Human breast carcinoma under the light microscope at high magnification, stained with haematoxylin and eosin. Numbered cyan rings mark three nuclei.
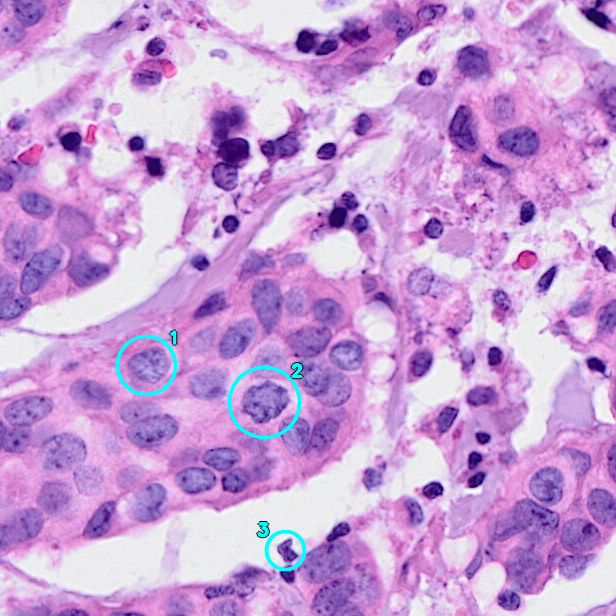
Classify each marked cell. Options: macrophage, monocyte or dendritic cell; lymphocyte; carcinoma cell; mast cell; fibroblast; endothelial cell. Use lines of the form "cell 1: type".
cell 1: carcinoma cell
cell 2: carcinoma cell
cell 3: lymphocyte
